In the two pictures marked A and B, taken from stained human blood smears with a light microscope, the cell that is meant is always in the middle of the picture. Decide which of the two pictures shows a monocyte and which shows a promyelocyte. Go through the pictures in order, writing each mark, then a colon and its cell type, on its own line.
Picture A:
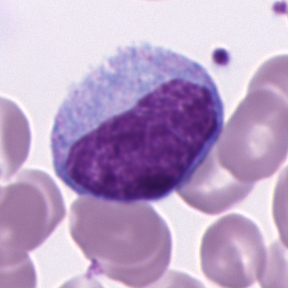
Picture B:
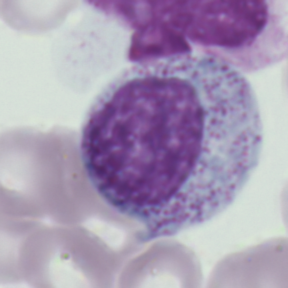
A: monocyte
B: promyelocyte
